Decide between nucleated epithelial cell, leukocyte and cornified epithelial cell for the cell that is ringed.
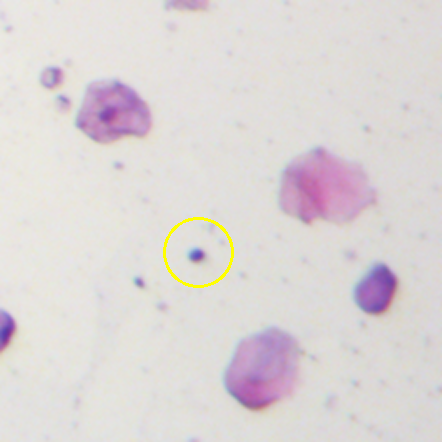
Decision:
I take the ringed cell for a leukocyte.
